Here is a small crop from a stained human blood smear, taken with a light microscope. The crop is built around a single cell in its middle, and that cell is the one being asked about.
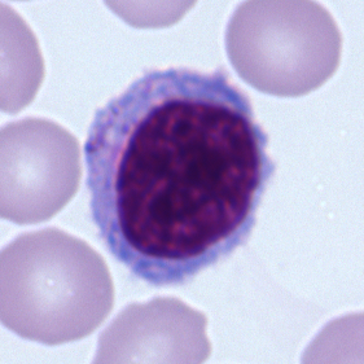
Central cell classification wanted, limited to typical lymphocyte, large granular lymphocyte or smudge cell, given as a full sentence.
The identification for the central cell is a typical lymphocyte.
